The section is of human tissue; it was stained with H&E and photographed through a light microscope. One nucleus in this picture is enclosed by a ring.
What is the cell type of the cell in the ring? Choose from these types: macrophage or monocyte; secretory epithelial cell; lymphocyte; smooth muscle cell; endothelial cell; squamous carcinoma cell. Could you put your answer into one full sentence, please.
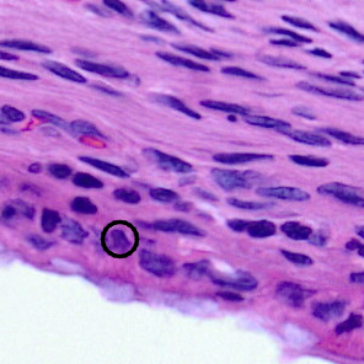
In the tissue under study, the cell in the ring is a secretory epithelial cell.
